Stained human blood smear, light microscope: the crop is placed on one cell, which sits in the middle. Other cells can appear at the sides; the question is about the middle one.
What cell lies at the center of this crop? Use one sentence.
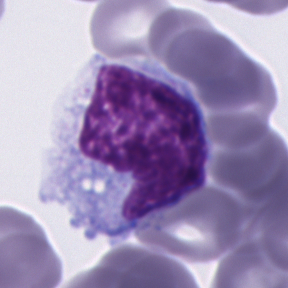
Regarding the central cell, it is a monocyte.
